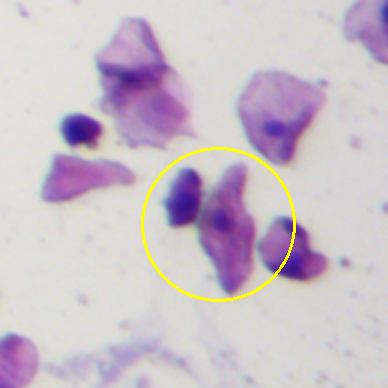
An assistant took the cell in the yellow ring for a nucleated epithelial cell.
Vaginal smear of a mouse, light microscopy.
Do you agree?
I agree, it is a nucleated epithelial cell.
